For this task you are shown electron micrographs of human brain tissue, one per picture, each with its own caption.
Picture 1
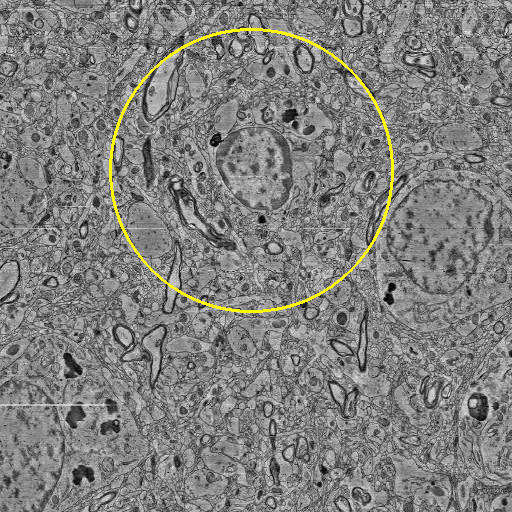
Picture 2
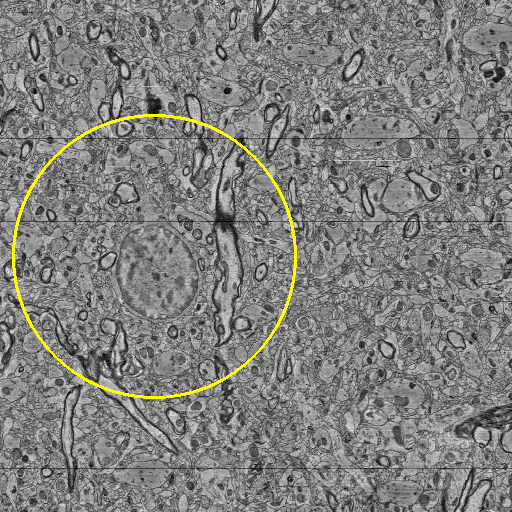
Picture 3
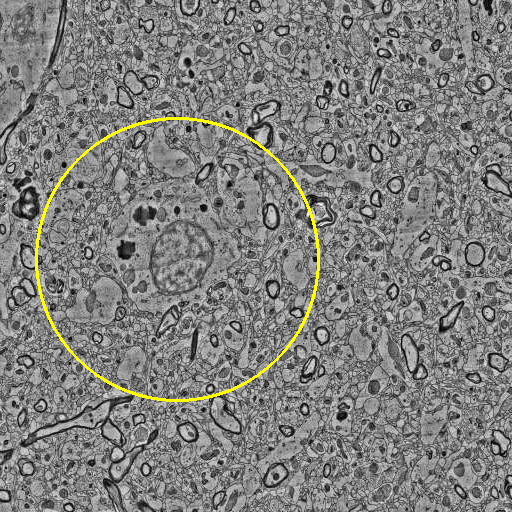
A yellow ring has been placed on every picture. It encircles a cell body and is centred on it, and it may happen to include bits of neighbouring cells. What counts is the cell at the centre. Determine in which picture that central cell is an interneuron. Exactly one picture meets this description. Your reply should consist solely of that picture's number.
3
